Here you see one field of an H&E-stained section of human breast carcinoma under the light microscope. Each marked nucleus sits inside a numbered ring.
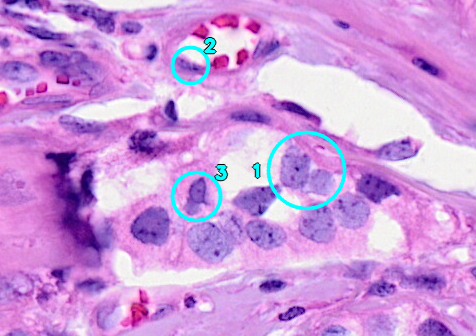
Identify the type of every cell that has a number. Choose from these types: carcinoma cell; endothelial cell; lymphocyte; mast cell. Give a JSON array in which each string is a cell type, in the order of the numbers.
["carcinoma cell", "endothelial cell", "carcinoma cell"]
